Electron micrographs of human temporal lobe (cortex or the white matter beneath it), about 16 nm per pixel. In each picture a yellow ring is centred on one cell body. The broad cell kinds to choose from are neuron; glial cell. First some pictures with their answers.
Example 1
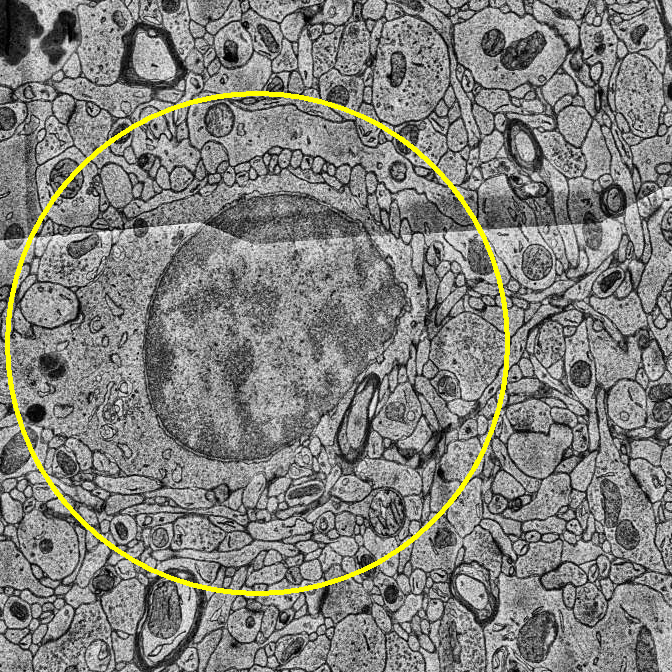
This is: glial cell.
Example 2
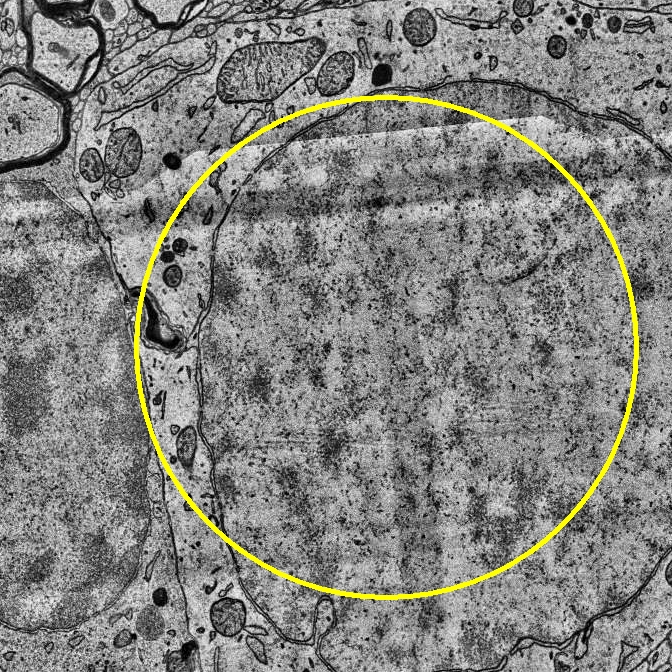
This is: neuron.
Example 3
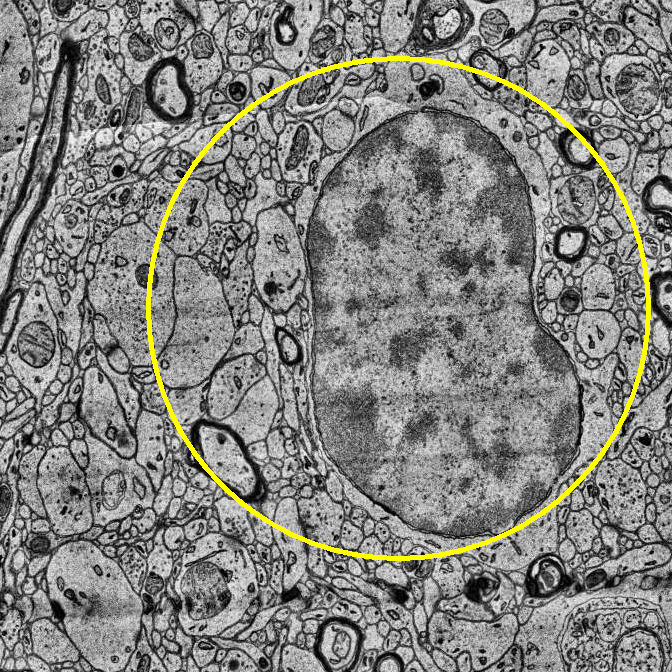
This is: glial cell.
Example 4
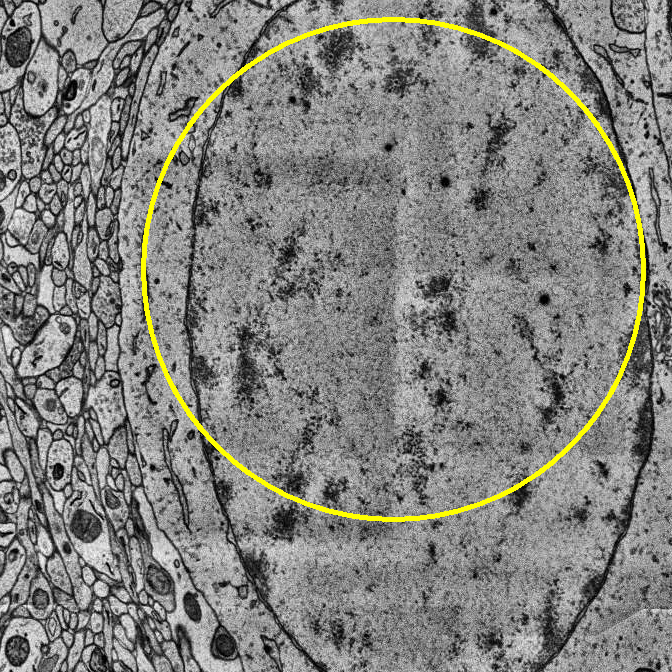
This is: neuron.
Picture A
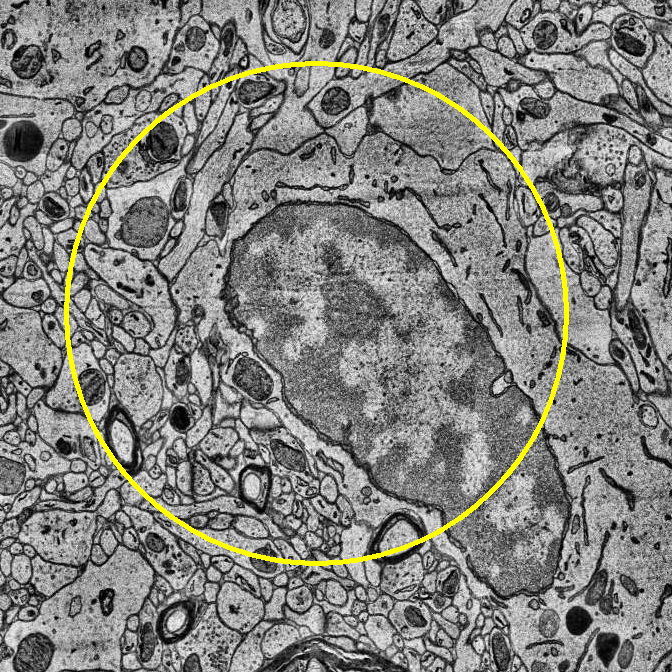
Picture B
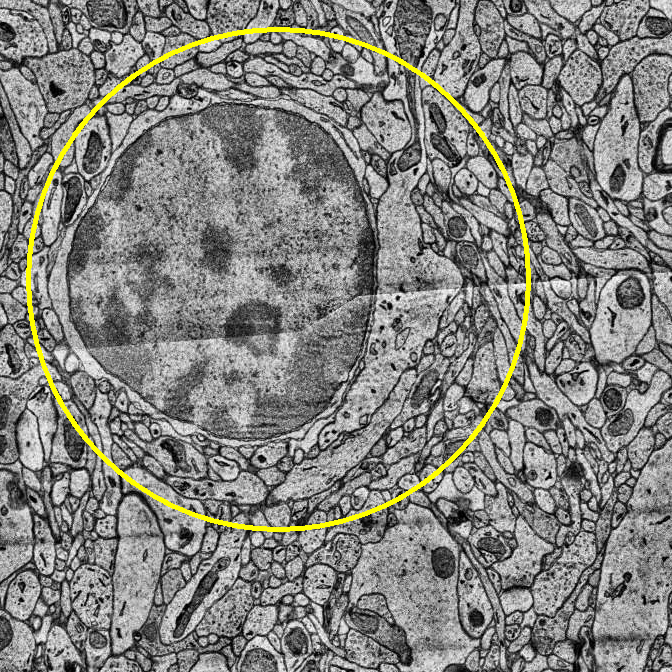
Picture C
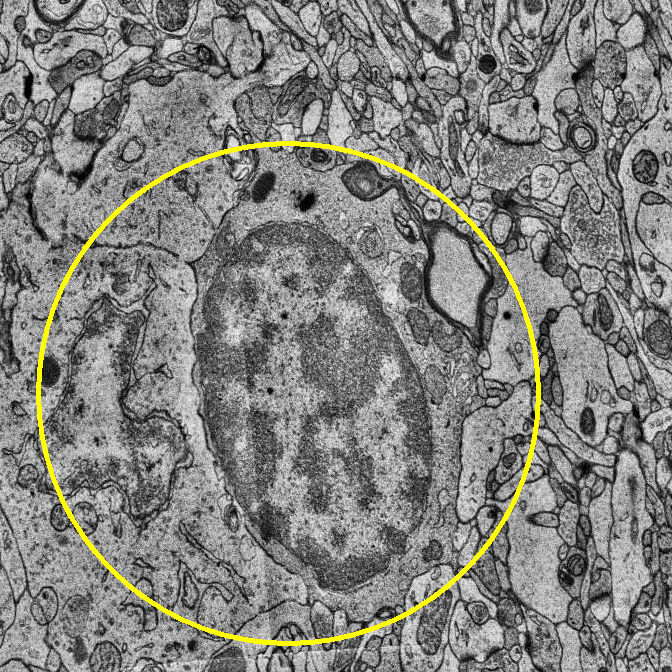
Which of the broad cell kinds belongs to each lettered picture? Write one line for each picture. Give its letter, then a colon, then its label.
A: glial cell.
B: glial cell.
C: glial cell.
